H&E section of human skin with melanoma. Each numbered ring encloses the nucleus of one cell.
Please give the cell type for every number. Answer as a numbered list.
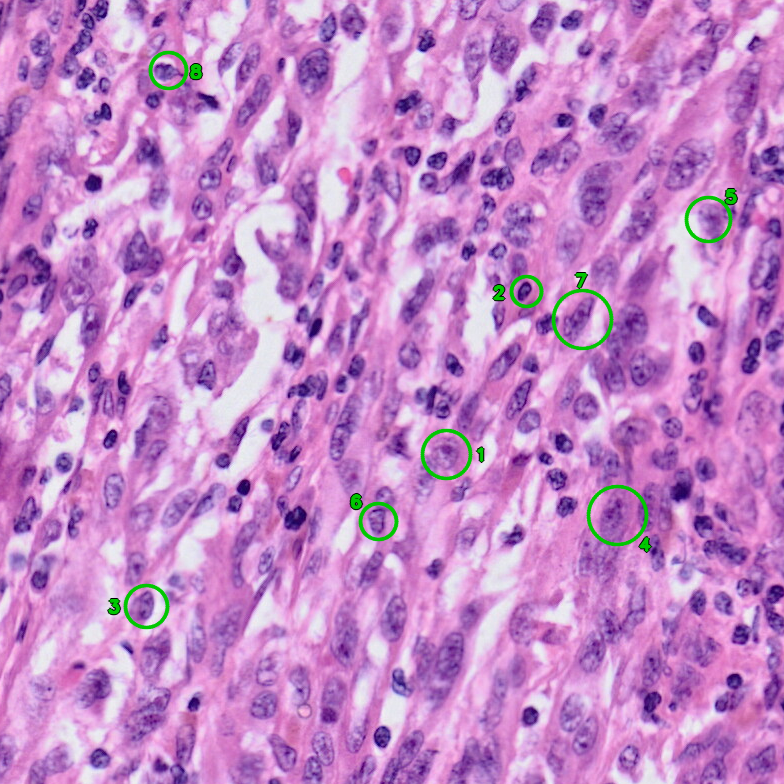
1. melanoma cell
2. lymphocyte
3. macrophage or monocyte
4. melanoma cell
5. melanoma cell
6. melanoma cell
7. melanoma cell
8. lymphocyte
